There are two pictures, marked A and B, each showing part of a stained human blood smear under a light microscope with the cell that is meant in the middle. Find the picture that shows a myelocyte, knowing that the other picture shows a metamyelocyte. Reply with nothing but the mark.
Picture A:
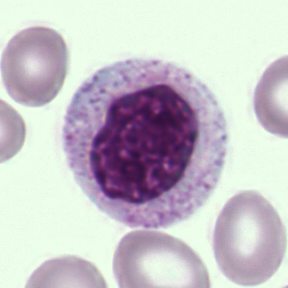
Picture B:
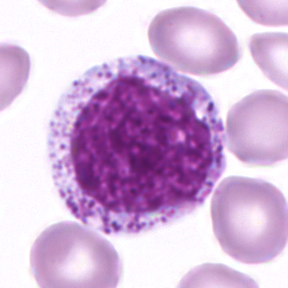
B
